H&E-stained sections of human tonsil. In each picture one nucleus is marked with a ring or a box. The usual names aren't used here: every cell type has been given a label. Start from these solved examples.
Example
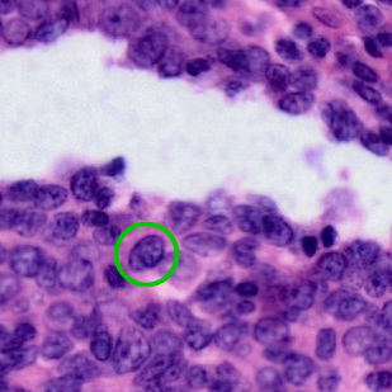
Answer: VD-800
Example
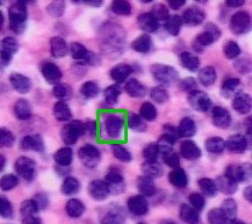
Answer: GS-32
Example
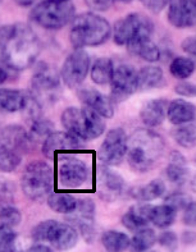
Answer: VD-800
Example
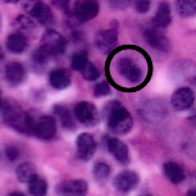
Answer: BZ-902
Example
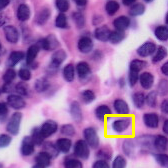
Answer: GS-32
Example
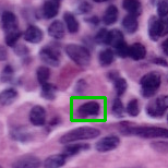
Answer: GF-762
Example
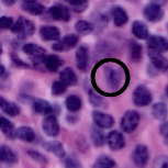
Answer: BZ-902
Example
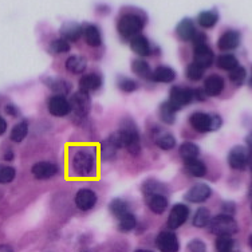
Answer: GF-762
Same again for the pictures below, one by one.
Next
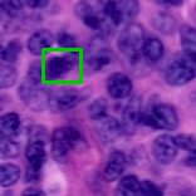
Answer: VD-800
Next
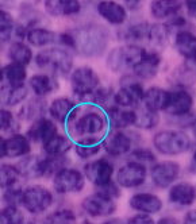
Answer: GS-32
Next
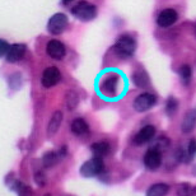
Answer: GF-762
